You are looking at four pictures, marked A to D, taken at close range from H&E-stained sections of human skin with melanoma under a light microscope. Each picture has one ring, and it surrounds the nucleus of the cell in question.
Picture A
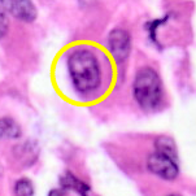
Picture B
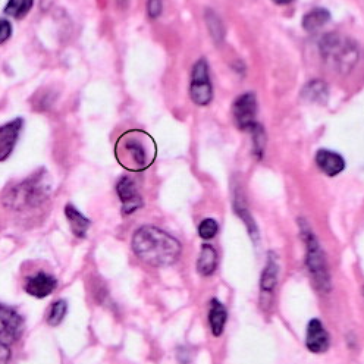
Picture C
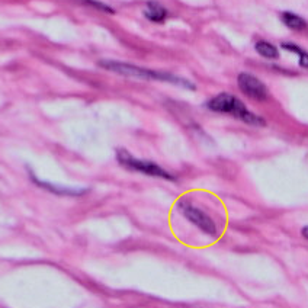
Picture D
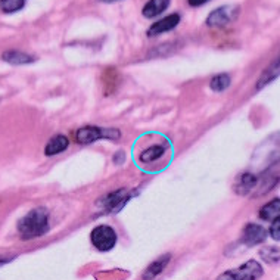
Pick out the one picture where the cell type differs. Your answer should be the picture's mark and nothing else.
A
